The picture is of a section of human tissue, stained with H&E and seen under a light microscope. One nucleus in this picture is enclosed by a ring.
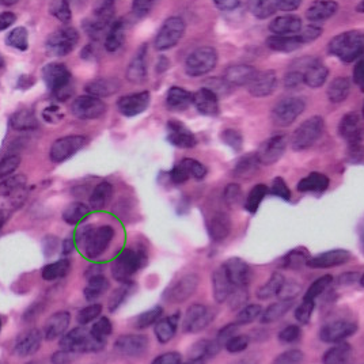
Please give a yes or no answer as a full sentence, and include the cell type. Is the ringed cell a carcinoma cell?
Yes, a carcinoma cell is what the ringed cell is in this section.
